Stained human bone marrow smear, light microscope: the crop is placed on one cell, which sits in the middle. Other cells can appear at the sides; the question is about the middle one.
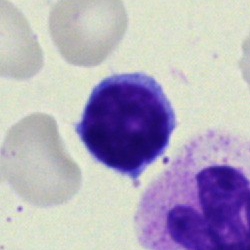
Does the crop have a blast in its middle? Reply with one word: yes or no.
no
